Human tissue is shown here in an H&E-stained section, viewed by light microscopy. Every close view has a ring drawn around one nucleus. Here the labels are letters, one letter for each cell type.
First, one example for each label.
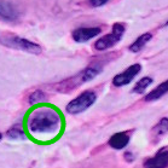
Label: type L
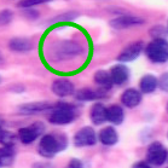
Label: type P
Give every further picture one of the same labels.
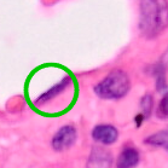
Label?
type P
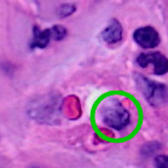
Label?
type P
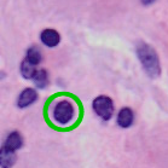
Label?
type L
